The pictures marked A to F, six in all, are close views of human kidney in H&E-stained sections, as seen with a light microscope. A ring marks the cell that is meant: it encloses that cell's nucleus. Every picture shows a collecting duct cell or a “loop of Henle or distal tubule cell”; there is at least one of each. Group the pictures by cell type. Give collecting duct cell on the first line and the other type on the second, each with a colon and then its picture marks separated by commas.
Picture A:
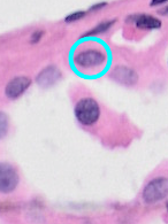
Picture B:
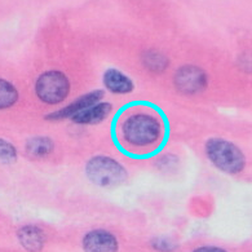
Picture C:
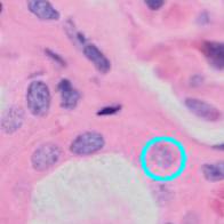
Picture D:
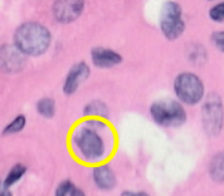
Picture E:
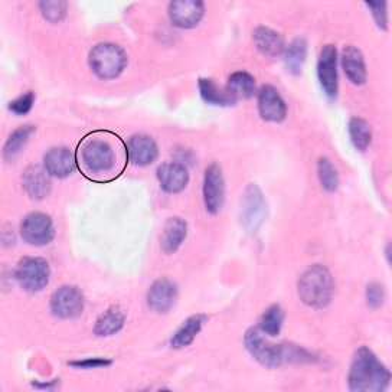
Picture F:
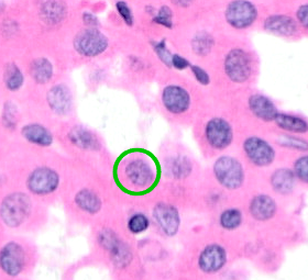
collecting duct cell: A, D, E
loop of Henle or distal tubule cell: B, C, F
